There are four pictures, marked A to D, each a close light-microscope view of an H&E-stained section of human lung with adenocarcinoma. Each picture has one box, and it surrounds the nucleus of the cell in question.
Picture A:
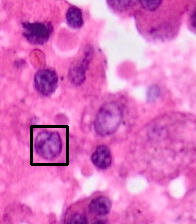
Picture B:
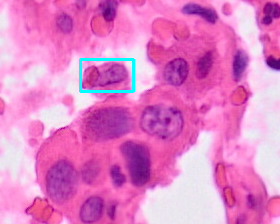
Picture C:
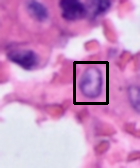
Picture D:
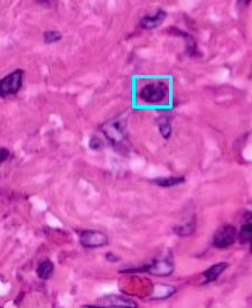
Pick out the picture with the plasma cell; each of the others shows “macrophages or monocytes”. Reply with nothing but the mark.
D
